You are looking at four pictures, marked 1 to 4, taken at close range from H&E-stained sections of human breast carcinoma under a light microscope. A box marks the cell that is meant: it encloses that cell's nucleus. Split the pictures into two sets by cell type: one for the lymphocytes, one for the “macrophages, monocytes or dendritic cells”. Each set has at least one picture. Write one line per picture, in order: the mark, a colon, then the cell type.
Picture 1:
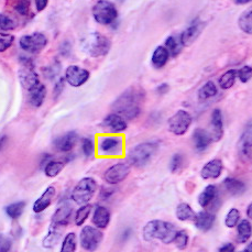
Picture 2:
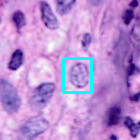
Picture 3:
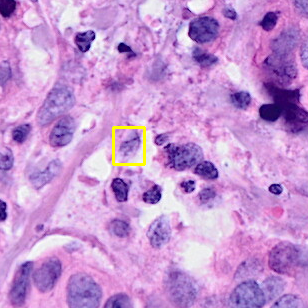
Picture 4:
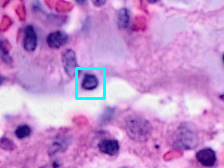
1: lymphocyte
2: macrophage, monocyte or dendritic cell
3: macrophage, monocyte or dendritic cell
4: lymphocyte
